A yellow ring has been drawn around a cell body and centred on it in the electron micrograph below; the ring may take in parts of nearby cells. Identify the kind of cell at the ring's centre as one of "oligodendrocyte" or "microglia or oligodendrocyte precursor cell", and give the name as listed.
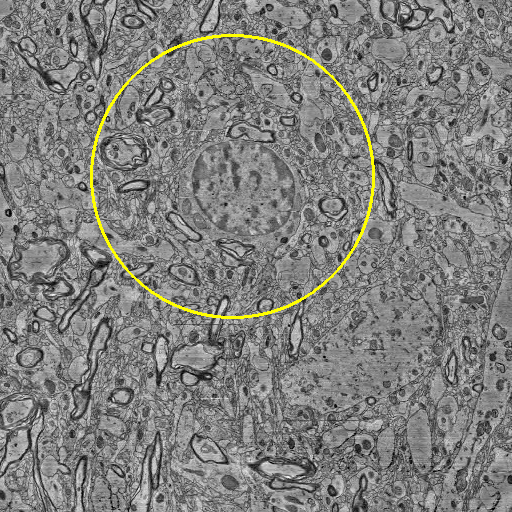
oligodendrocyte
